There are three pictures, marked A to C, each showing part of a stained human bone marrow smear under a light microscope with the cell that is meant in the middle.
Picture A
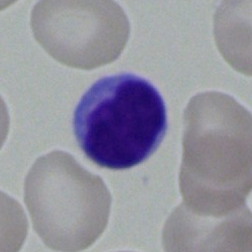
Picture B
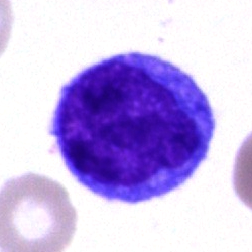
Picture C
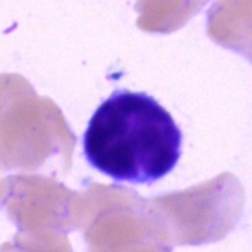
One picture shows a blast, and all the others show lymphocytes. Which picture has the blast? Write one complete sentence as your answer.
The cell in picture B is the blast.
